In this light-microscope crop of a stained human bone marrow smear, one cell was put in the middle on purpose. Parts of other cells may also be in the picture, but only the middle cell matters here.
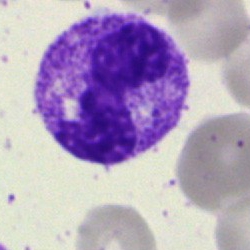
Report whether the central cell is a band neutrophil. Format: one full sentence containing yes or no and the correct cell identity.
No, in this crop the central cell is a segmented neutrophil instead of a band neutrophil.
